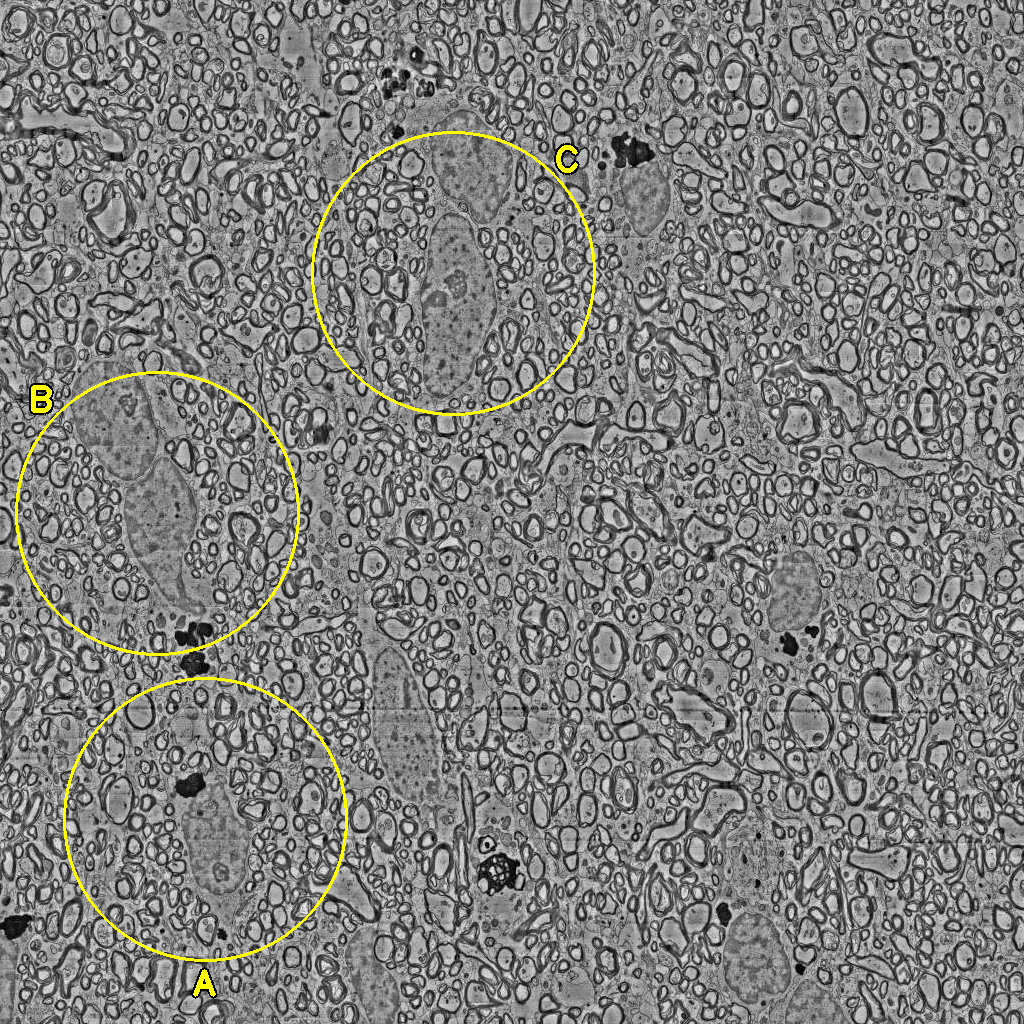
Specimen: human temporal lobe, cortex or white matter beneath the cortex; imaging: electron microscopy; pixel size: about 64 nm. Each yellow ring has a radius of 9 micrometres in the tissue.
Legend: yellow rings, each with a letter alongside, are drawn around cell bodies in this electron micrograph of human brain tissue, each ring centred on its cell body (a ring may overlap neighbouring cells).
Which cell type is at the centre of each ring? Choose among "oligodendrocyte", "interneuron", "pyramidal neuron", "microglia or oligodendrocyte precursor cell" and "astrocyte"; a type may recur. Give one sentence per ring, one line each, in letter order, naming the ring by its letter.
Ring A has an oligodendrocyte at its centre.
Ring B has an oligodendrocyte at its centre.
Ring C has a microglial cell or oligodendrocyte precursor cell at its centre.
